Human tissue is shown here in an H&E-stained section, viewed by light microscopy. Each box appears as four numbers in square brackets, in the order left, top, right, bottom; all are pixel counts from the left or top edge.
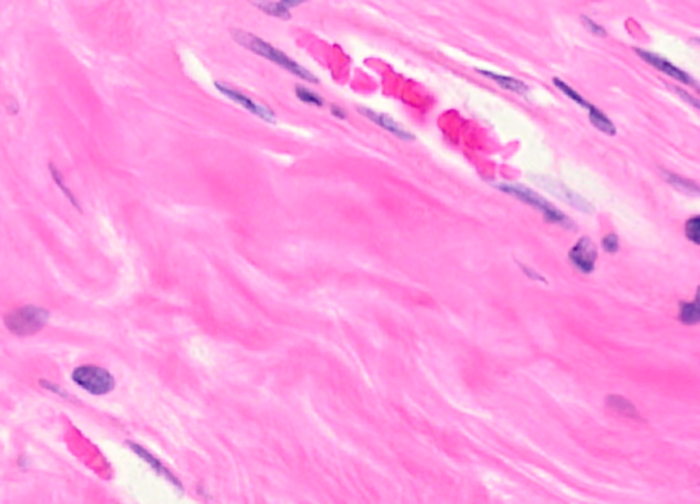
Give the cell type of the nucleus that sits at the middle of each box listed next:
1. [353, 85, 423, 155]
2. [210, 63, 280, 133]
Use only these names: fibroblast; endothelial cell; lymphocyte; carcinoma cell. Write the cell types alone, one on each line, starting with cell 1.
endothelial cell
fibroblast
